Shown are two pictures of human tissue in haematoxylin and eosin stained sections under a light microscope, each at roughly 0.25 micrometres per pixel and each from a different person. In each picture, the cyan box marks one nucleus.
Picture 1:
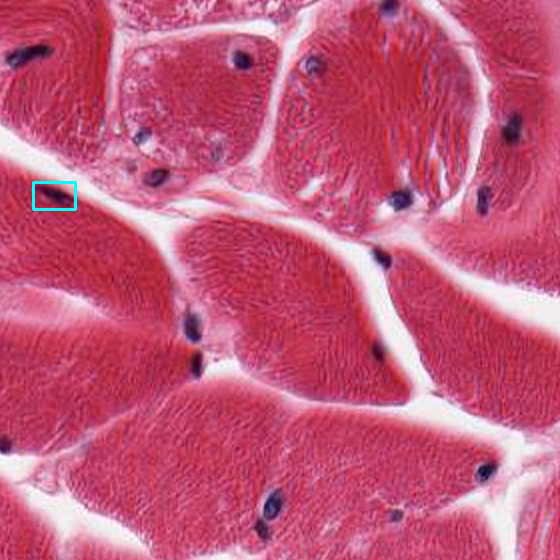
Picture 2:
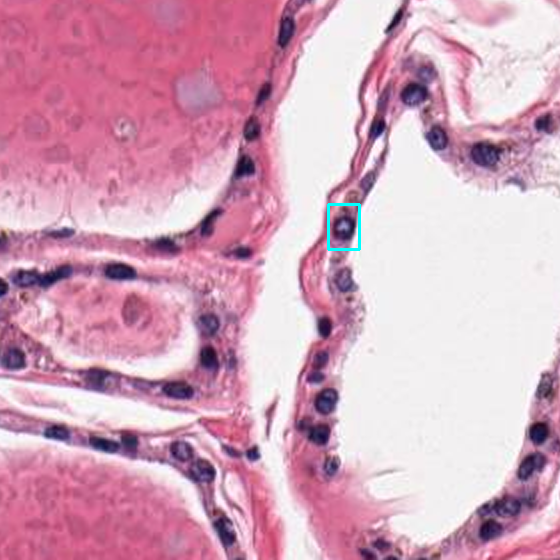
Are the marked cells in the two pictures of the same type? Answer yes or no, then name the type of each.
No, the first is a skeletal muscle fibre and the second a thyroid follicular cell.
